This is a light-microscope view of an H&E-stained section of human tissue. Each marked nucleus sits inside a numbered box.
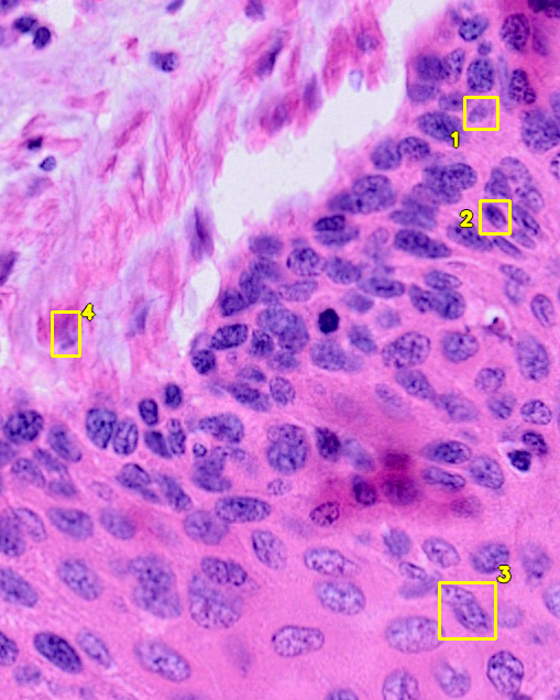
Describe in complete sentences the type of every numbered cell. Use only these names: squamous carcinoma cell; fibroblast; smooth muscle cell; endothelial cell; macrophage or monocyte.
Cell 1 is a squamous carcinoma cell, cell 2 is a squamous carcinoma cell, cell 3 is a squamous carcinoma cell and cell 4 is a fibroblast.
